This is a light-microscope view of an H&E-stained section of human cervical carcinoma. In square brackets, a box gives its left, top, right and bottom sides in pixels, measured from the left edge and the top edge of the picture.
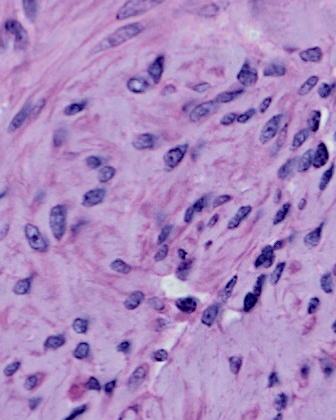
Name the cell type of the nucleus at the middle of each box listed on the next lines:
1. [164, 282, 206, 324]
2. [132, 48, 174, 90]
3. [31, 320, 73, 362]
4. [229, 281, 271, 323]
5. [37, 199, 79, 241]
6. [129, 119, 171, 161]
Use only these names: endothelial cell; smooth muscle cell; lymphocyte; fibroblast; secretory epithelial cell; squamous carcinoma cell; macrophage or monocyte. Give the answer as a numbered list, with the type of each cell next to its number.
1. lymphocyte
2. smooth muscle cell
3. smooth muscle cell
4. lymphocyte
5. smooth muscle cell
6. smooth muscle cell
